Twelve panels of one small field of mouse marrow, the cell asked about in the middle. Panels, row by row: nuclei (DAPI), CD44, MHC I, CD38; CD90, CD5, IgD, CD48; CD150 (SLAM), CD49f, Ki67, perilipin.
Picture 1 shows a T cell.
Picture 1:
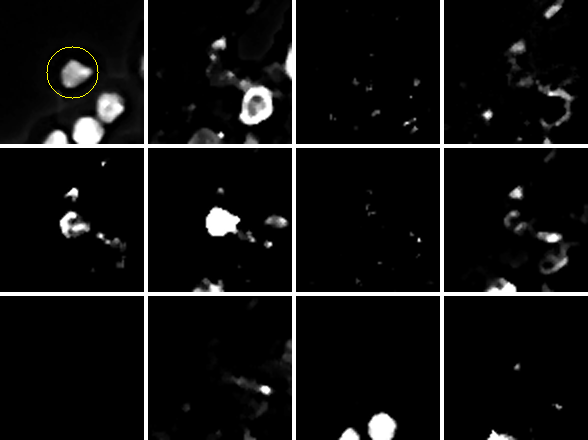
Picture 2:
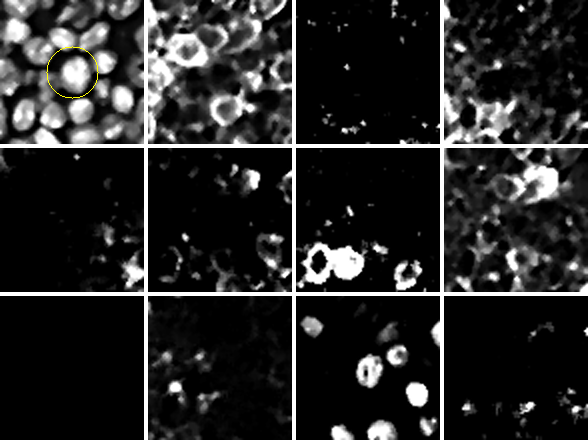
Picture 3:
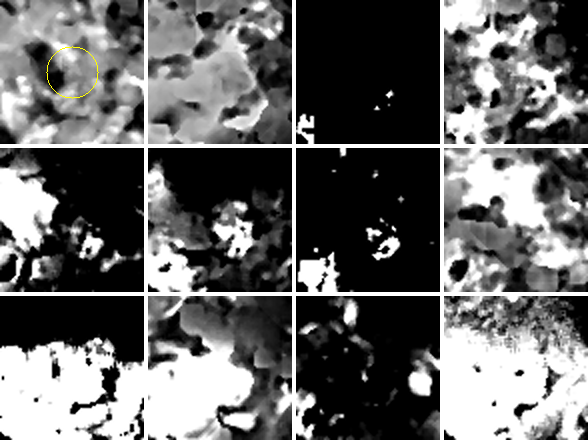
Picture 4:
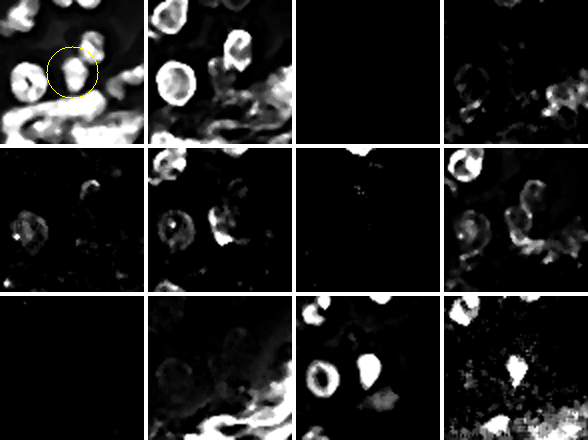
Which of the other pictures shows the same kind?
Picture 3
